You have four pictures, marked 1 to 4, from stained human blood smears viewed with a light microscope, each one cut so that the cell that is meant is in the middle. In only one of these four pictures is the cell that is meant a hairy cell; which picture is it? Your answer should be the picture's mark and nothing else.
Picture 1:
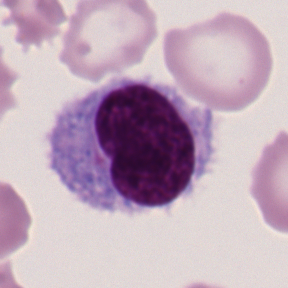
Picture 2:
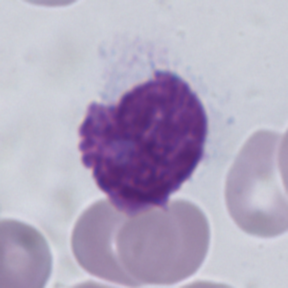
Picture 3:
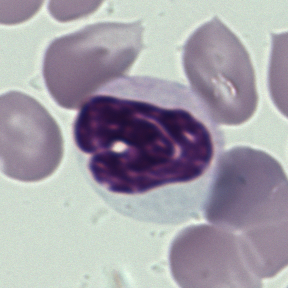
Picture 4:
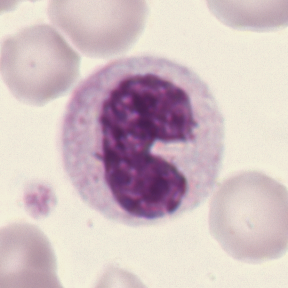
1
